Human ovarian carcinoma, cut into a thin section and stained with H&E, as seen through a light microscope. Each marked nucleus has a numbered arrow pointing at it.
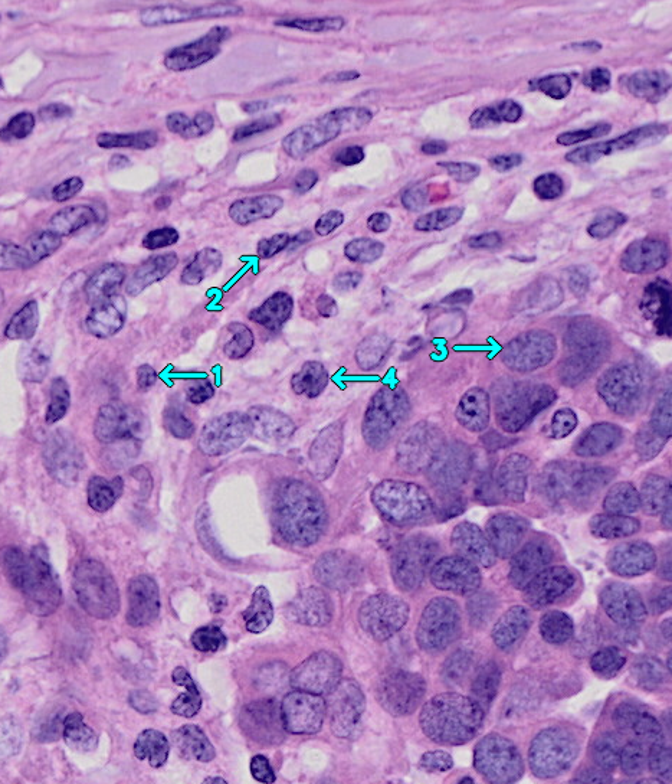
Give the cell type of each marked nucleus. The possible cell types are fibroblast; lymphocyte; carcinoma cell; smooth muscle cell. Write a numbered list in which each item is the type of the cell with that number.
1. lymphocyte
2. lymphocyte
3. carcinoma cell
4. lymphocyte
